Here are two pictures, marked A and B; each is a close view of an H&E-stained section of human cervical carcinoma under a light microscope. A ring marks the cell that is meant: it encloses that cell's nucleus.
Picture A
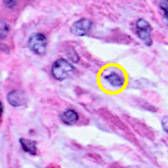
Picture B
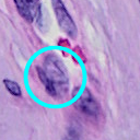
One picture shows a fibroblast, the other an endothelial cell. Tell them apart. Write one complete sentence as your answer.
Picture B shows an endothelial cell, while picture A shows a fibroblast.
